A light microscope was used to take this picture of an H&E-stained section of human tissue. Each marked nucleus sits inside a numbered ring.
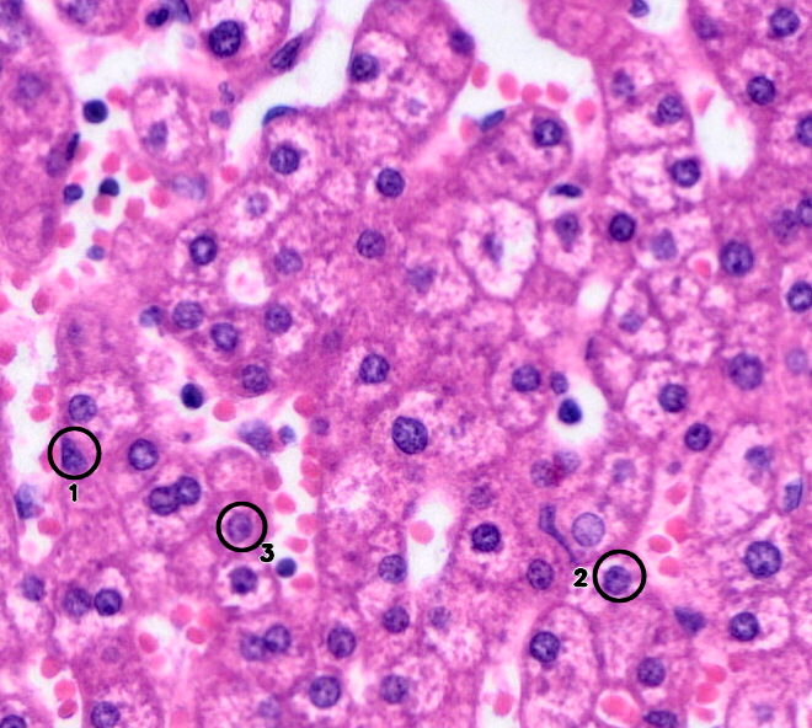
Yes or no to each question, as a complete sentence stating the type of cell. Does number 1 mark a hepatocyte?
No, it is a fibroblast or stellate cell, not a hepatocyte, that number 1 marks.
